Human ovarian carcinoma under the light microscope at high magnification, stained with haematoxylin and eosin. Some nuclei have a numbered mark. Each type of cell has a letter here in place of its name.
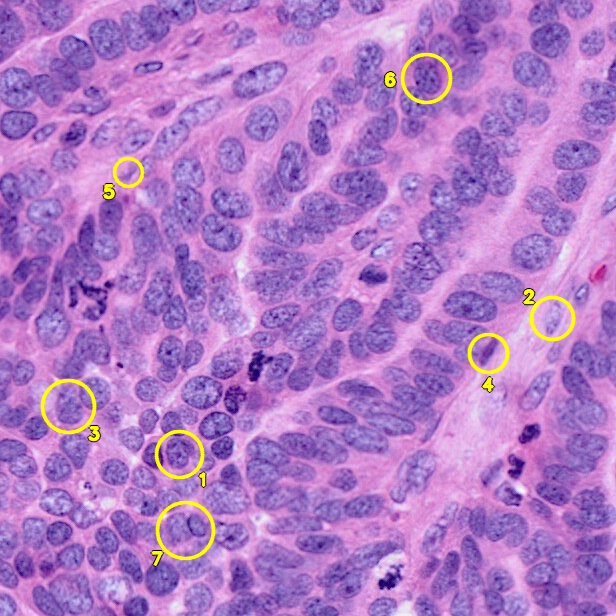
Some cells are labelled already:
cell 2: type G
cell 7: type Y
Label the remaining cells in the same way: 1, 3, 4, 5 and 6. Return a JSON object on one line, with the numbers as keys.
{"1": "type Y", "3": "type Y", "4": "type G", "5": "type G", "6": "type Y"}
